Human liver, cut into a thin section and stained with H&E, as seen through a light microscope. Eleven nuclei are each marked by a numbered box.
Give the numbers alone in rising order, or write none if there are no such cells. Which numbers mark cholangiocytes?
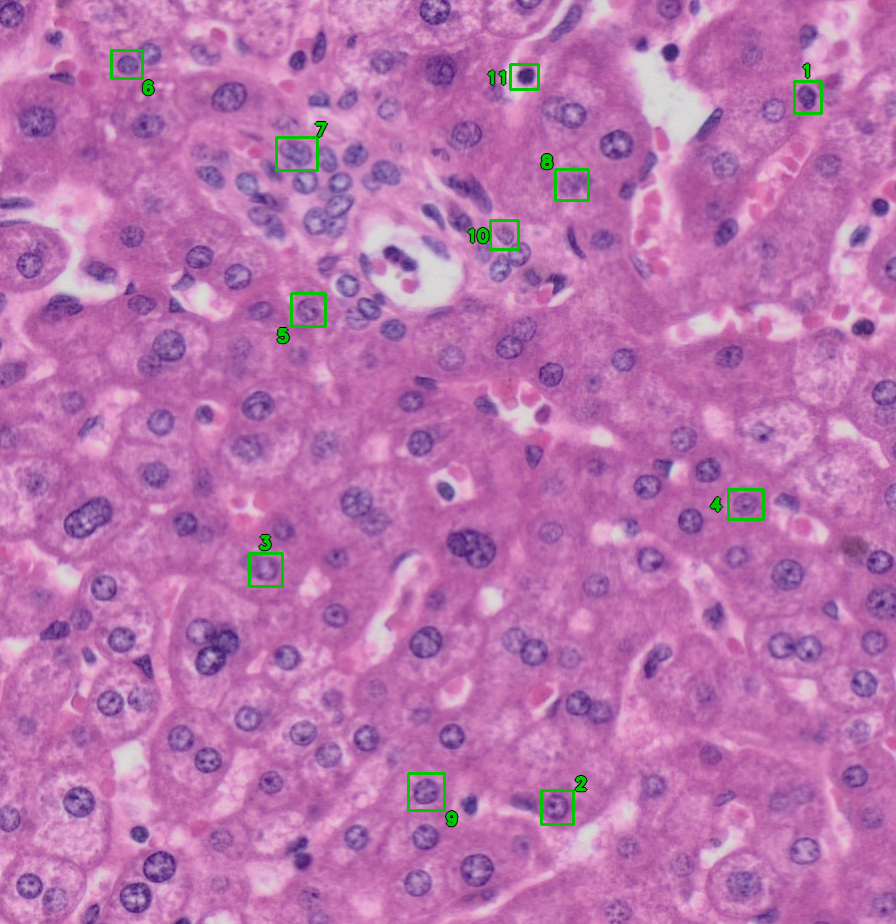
6, 7, 10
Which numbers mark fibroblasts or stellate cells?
1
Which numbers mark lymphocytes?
11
